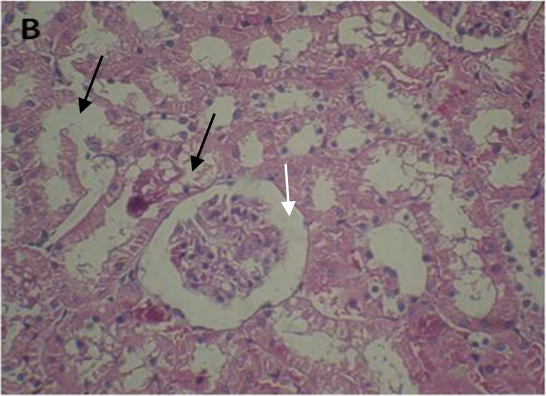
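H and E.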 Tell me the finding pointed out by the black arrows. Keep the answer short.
degeneration of the epithelial cells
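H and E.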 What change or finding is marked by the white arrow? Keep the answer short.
dilated bowman’s space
